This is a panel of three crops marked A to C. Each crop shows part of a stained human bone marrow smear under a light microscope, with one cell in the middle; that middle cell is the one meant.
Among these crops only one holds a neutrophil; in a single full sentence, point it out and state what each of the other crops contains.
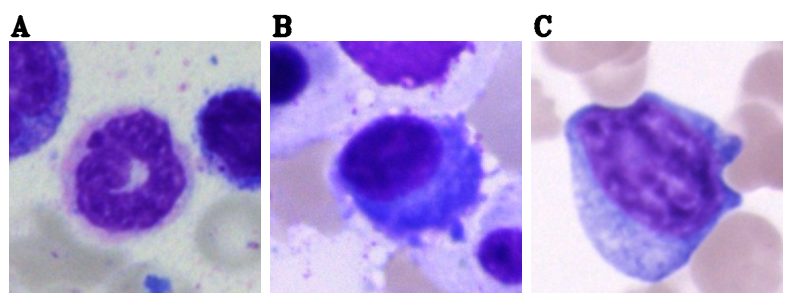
The cell occupying crop A is a neutrophil, whereas crop B is a plasma cell and crop C is a blast.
